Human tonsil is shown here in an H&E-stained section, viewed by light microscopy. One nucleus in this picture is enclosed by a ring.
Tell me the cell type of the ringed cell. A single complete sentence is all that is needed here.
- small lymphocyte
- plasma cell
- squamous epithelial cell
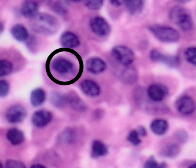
It is as a plasma cell that the ringed cell is recorded.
